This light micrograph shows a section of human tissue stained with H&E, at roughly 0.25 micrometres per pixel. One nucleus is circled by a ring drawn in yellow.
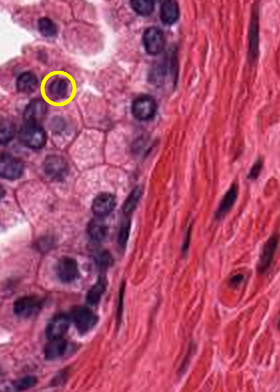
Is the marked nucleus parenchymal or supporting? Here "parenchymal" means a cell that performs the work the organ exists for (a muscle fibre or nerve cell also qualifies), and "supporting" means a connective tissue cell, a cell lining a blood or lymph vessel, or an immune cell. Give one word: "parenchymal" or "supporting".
parenchymal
